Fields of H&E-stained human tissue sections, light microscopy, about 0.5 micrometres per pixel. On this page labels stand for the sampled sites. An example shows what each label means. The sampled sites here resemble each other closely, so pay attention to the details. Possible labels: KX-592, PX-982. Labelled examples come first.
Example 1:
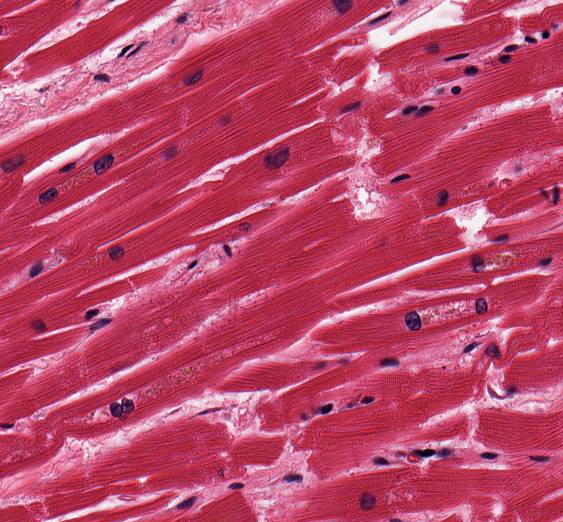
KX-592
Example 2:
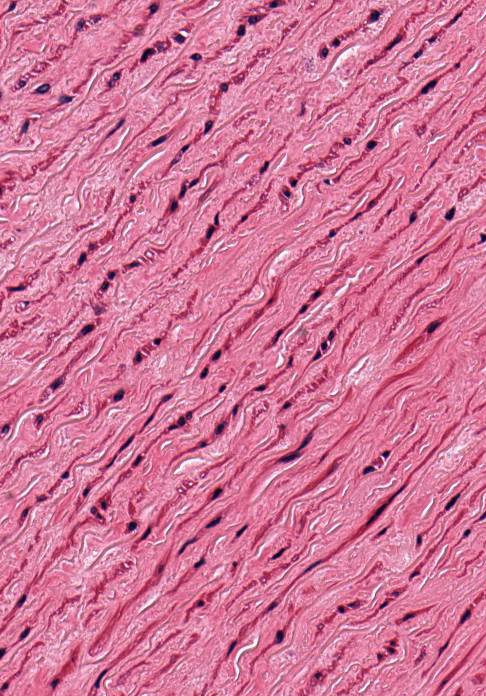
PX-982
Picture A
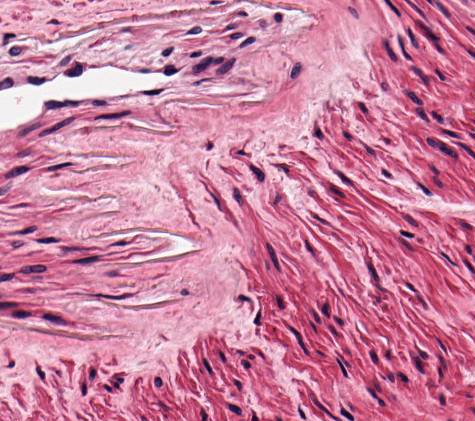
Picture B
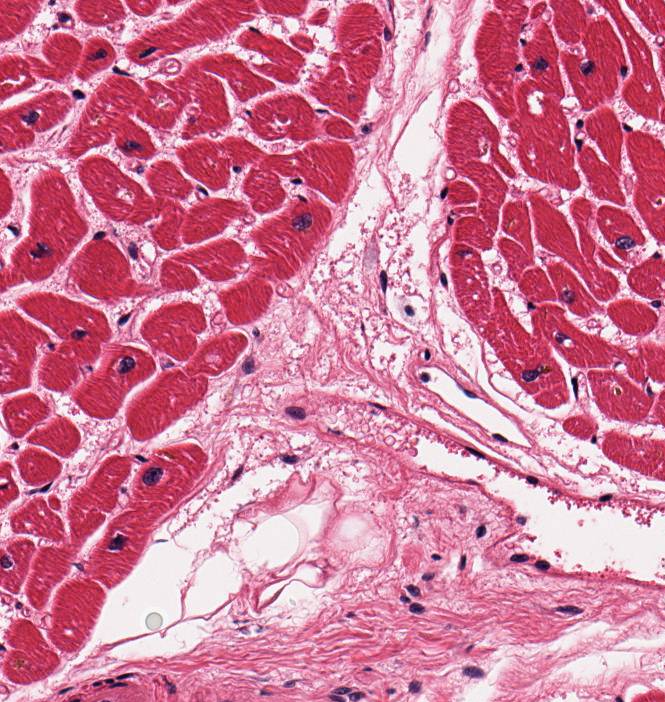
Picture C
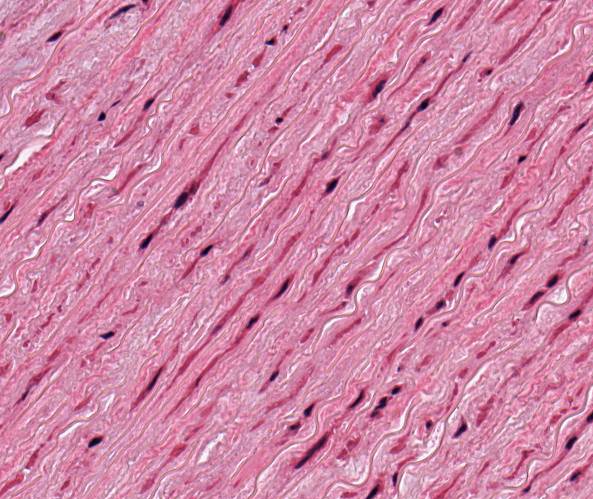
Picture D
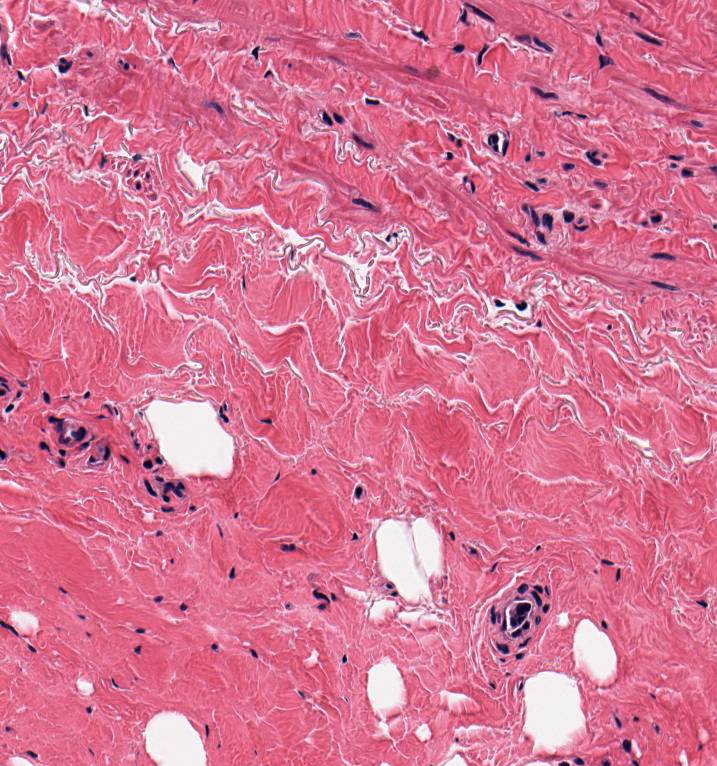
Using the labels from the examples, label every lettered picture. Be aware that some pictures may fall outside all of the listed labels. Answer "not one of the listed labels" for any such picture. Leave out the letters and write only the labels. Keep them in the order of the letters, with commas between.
not one of the listed labels, KX-592, PX-982, not one of the listed labels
